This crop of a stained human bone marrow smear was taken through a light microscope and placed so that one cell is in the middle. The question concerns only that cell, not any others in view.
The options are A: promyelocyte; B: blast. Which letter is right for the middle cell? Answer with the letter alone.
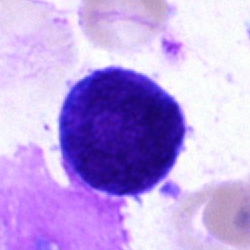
B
